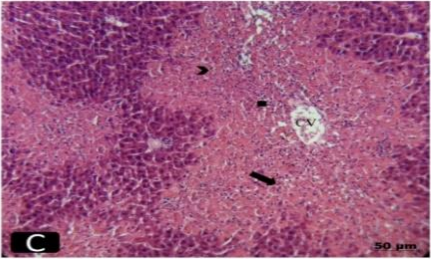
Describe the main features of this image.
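This is liver tissue in which a broad pale zone surrounds a central vein, sharply set off from darker purple areas of hepatocytes farther out. In the pale zone the cell plates are broken up, the cells look faded and loosely arranged, and small dark nuclei are scattered among them. The darker outer regions keep tightly packed hepatocytes with round nuclei, so the damage forms a patchy, map-like pattern across the field.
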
